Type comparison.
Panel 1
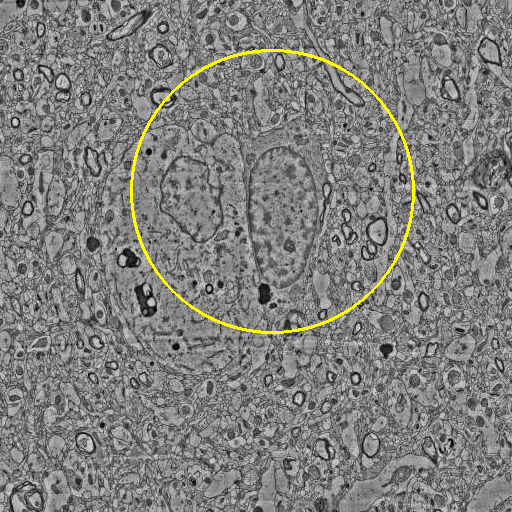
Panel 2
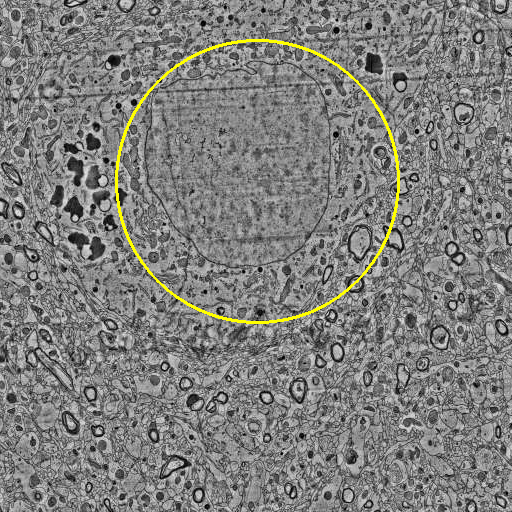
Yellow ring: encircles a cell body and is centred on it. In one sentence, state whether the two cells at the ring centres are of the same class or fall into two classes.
In these panels, the two cells at the ring centres fall into two classes.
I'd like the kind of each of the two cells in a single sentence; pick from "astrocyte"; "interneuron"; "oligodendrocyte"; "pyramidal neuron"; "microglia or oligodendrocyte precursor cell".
The first ring marks an oligodendrocyte, and the second ring marks a pyramidal neuron.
